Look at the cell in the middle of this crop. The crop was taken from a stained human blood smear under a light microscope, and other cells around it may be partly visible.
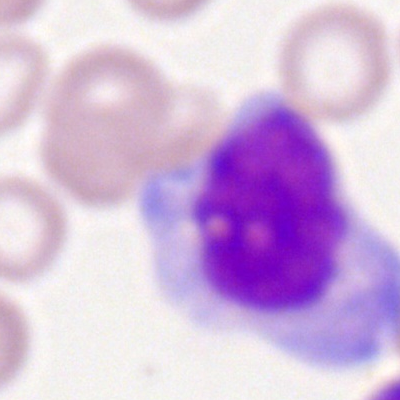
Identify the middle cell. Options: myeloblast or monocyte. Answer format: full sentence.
The identification for the central cell is a monocyte.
